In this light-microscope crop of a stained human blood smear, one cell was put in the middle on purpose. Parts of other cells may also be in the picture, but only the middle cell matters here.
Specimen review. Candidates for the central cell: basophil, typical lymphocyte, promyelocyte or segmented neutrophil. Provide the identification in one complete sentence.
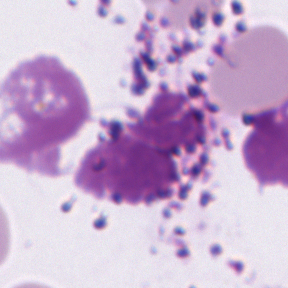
The cell of interest, in the center, is a basophil.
